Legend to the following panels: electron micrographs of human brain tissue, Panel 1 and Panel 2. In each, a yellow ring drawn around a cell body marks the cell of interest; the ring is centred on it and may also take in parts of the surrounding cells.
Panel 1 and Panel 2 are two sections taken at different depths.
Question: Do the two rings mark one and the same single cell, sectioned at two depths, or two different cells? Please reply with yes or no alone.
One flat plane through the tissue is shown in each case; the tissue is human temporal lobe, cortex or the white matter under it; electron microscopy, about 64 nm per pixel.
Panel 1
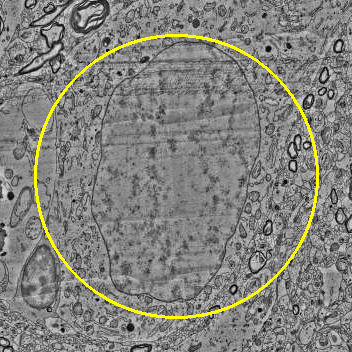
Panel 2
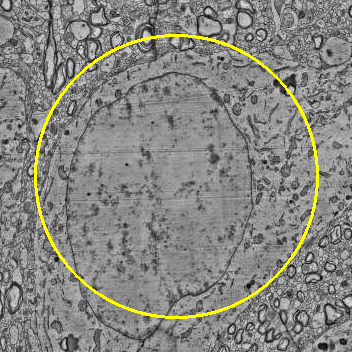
no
